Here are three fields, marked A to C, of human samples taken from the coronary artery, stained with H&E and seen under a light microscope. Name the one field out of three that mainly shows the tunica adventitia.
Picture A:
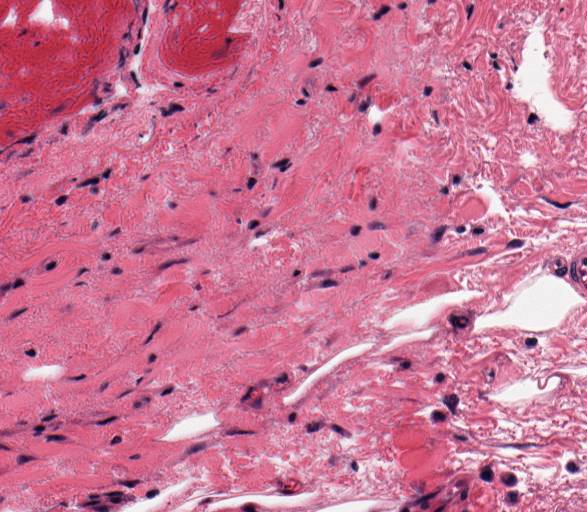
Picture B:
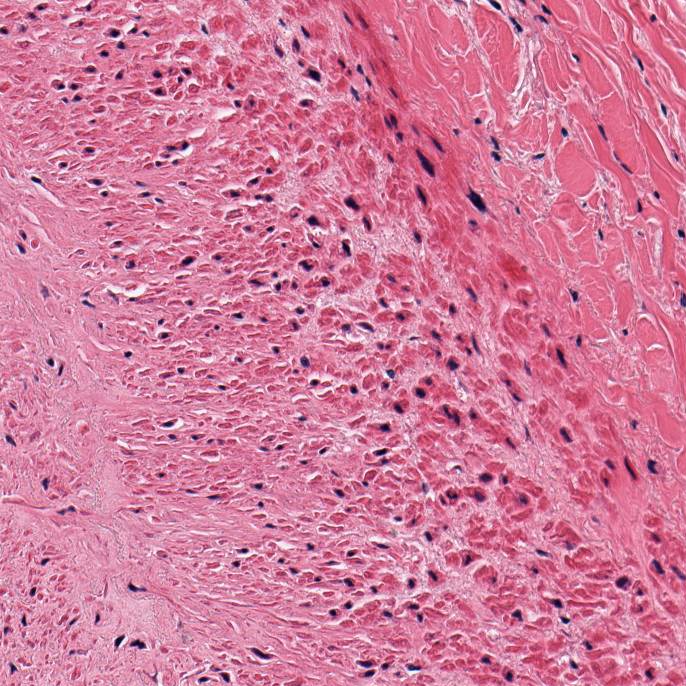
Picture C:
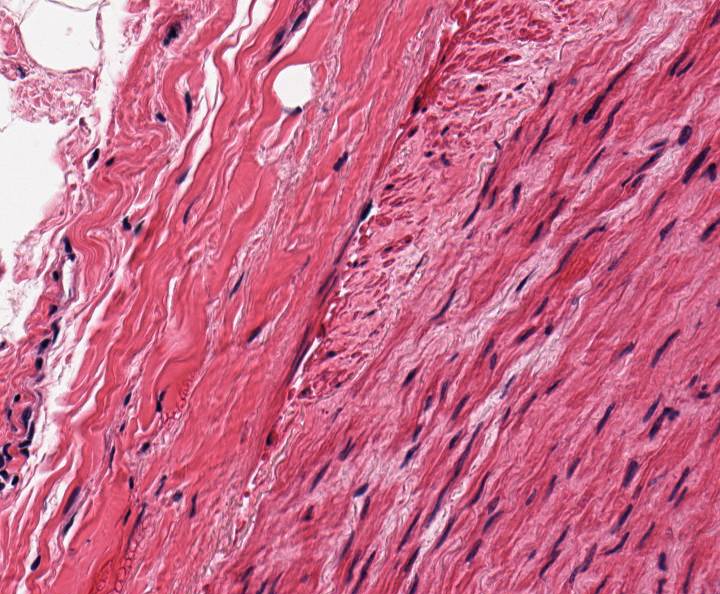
A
